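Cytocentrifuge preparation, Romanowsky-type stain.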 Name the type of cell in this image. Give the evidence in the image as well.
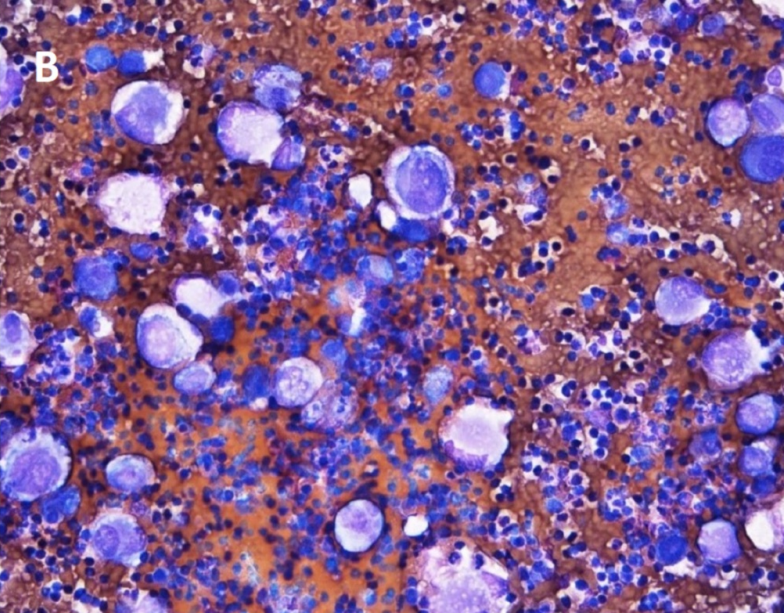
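Malignant cells. Many large rounded cells with big purple nuclei are scattered across the field. They are far larger than the numerous small round cells between them.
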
